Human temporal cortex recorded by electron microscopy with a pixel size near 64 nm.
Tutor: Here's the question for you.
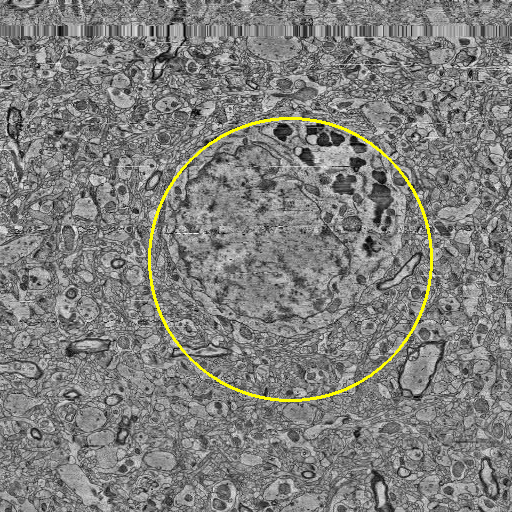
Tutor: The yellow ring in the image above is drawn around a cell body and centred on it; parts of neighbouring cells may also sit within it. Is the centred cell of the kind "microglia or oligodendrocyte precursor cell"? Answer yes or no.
no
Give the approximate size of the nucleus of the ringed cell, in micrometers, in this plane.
In this plane, approximately 12 by 10 micrometers.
